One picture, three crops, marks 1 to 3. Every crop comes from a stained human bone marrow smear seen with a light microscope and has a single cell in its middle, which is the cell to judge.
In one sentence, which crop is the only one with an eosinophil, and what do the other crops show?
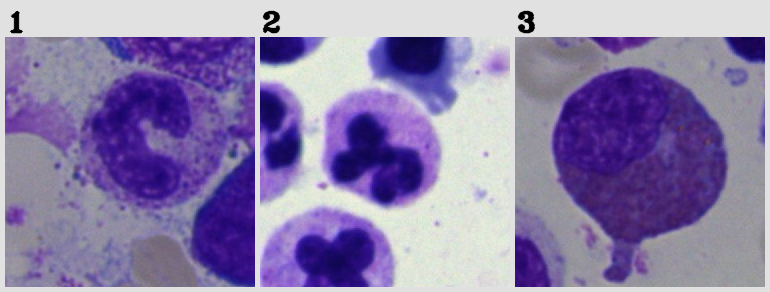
While crop 1 is a band neutrophil and crop 2 is a segmented neutrophil, crop 3 shows an eosinophil.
